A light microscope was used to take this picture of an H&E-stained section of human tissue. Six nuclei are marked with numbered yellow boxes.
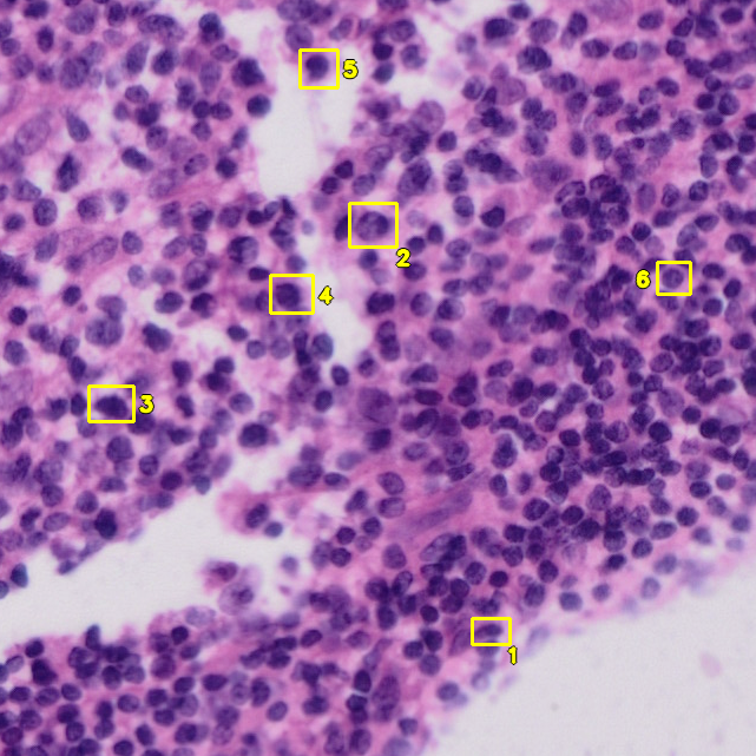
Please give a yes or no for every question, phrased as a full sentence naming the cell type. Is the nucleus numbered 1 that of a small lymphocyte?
Yes, the cell carrying label 1 is a small lymphocyte.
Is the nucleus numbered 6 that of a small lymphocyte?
Yes, the cell that goes by number 6 is a small lymphocyte.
